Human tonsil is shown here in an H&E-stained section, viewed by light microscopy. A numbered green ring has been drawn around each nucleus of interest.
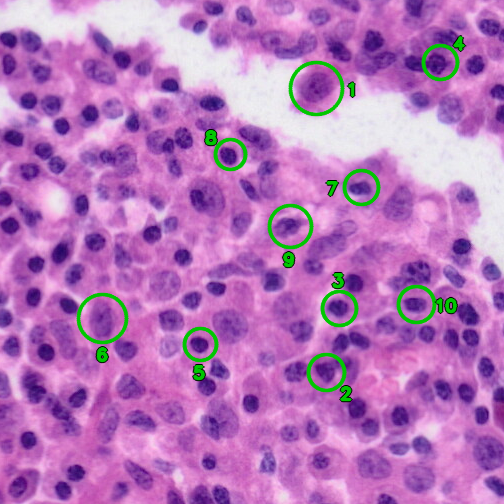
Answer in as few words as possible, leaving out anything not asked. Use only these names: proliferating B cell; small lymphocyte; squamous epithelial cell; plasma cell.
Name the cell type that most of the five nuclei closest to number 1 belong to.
squamous epithelial cell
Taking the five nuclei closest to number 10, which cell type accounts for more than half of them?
plasma cell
